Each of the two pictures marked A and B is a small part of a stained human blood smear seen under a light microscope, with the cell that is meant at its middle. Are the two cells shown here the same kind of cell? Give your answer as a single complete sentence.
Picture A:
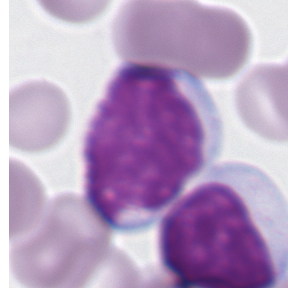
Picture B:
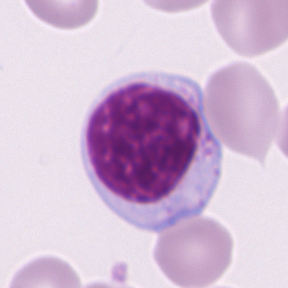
Yes, both cells are large granular lymphocytes.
